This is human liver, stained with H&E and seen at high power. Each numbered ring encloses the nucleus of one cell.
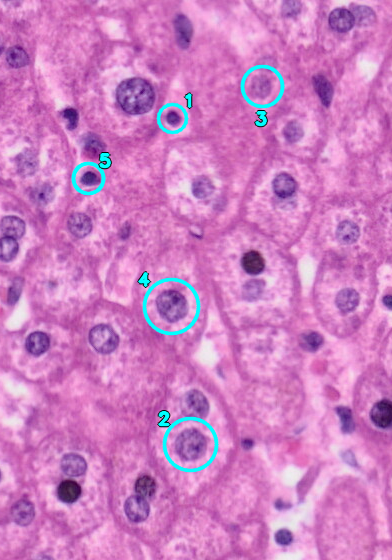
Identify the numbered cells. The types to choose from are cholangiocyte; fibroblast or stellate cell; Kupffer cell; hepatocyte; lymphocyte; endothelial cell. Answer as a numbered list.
1. lymphocyte
2. hepatocyte
3. hepatocyte
4. hepatocyte
5. lymphocyte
